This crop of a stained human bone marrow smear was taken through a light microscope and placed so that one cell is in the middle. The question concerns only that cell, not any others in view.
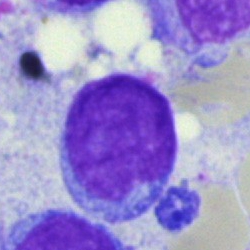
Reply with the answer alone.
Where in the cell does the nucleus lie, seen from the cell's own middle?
top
